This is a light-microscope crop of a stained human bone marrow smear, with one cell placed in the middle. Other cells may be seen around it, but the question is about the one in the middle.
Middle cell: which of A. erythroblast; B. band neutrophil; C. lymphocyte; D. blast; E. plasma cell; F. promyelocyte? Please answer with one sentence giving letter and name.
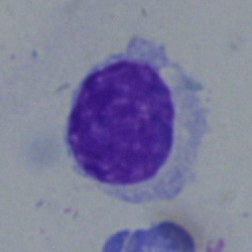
As the central cell is a lymphocyte, option C is correct.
